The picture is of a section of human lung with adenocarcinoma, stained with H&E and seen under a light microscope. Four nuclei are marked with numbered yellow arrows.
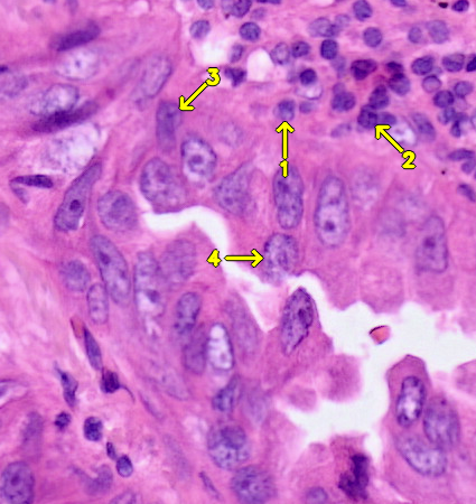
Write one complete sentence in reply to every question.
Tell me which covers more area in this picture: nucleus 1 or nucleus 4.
Number 4 is larger; its area is about 3 times that of number 1.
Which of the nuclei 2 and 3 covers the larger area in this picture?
It is nucleus 3, which covers about 2.5 times the area of nucleus 2.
